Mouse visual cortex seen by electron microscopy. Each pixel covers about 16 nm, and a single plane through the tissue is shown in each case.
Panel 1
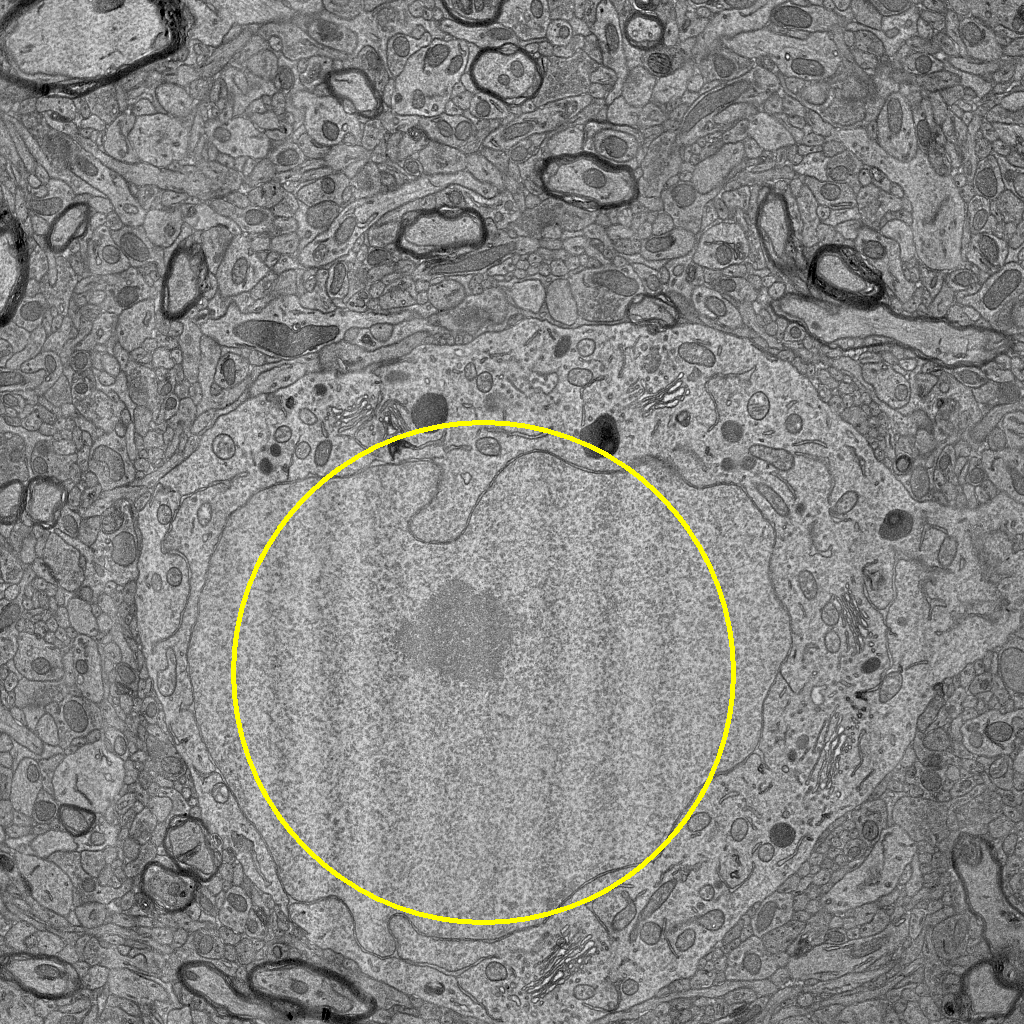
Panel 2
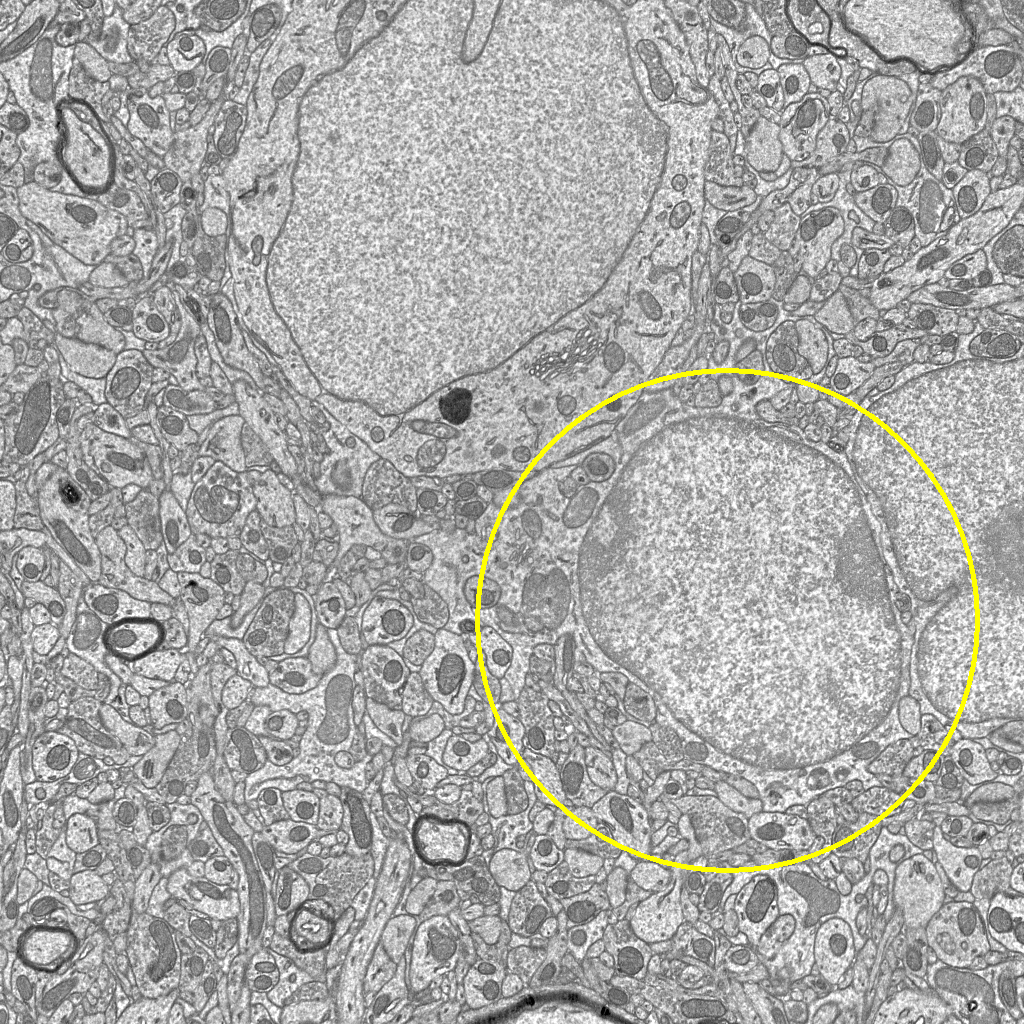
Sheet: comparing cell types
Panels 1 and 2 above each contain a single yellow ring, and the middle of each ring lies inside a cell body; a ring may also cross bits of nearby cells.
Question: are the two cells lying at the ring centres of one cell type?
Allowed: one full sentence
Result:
No, the cells at the ring centres in Panel 1 and Panel 2 are of two types.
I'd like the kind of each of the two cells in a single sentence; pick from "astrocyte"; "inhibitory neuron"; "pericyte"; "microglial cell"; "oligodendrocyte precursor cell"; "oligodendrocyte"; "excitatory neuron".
The cell at the centre of the ring is an inhibitory neuron in the first picture and an astrocyte in the second.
